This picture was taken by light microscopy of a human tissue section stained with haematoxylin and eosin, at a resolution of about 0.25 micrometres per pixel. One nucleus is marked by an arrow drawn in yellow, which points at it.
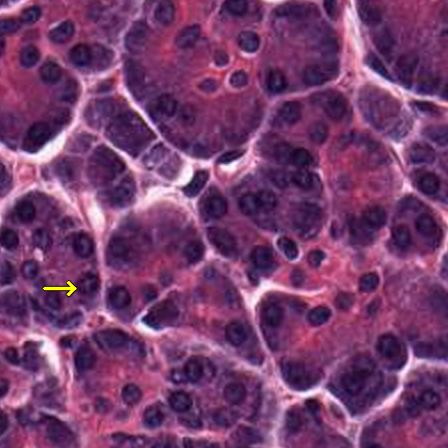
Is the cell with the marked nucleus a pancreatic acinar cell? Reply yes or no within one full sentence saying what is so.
Yes, the marked nucleus is that of a pancreatic acinar cell.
